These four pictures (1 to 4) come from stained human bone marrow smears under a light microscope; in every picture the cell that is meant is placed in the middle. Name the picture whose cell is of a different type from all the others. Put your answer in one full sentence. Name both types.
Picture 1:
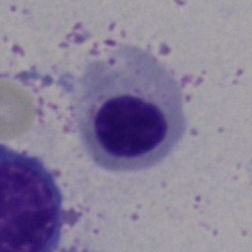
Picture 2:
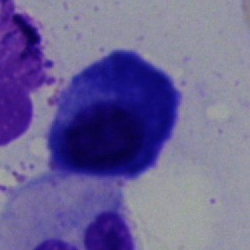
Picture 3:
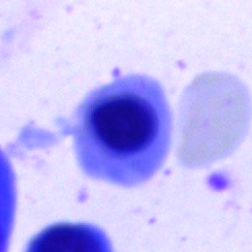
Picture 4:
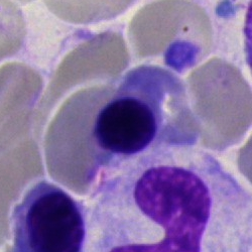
The different one is picture 2; it shows a plasma cell, whereas all the others show erythroblasts.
